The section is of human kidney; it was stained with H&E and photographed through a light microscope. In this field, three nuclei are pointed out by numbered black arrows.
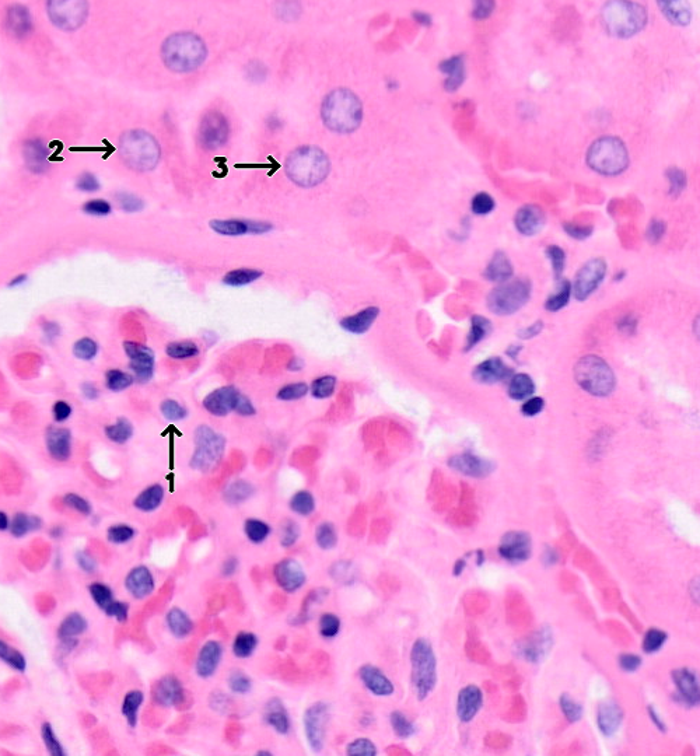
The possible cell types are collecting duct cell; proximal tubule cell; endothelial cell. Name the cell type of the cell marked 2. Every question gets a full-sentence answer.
What the number 2 marks in this field is a proximal tubule cell.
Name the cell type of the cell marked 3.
The nucleus labeled 3 belongs to a proximal tubule cell.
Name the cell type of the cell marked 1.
The cell to which the number 1 is assigned is an endothelial cell.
